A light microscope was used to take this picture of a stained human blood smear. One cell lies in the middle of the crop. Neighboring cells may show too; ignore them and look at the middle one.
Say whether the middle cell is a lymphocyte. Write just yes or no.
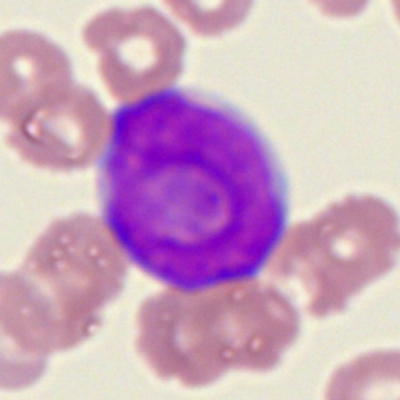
no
